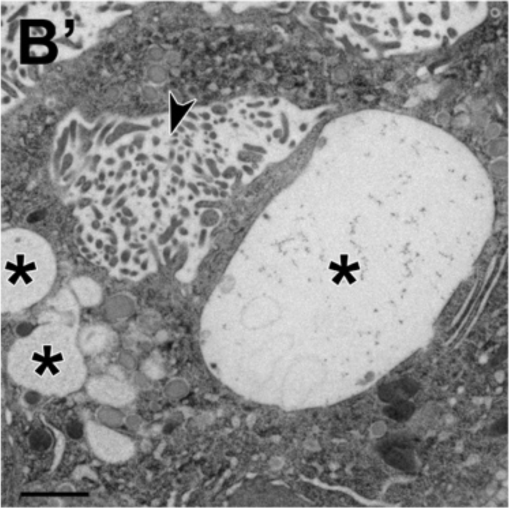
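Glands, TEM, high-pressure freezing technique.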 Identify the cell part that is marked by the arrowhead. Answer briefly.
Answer: Microvilli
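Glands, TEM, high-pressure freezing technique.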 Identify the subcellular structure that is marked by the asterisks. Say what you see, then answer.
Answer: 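Large intracellular vesicles. Large round to oval membrane-bounded spaces with pale, nearly empty content. They lie within the cytoplasm, surrounded by granular cytoplasm and organelles.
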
